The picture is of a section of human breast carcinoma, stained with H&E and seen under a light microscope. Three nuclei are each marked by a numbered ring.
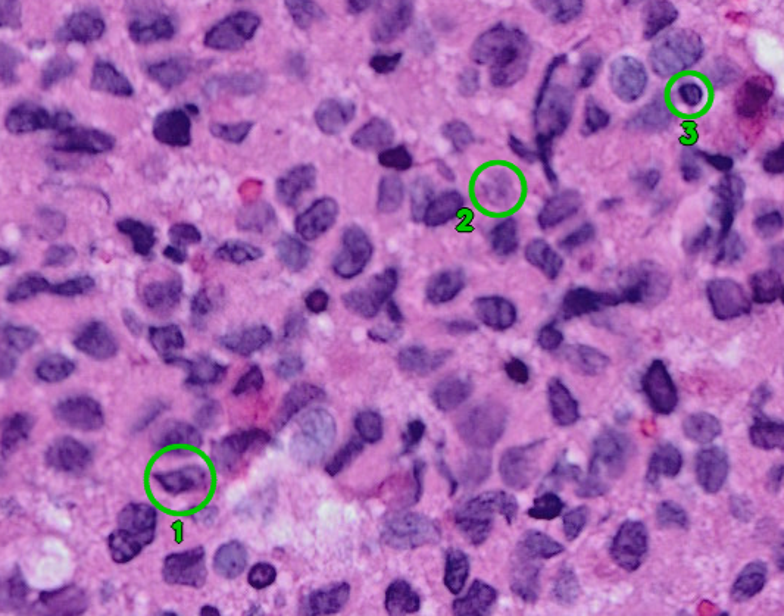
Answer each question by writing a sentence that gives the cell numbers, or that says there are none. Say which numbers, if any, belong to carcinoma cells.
Within the section, cells numbered 1 and 2 are carcinoma cells.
